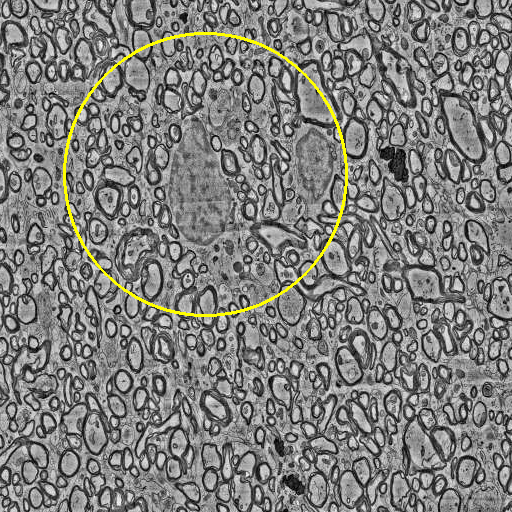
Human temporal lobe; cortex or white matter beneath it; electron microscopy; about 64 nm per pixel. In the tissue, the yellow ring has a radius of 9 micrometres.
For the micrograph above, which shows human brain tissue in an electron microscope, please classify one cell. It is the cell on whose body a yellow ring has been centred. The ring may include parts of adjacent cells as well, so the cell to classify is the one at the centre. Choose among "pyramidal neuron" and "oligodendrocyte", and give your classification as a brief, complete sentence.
I classify this cell as an oligodendrocyte.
